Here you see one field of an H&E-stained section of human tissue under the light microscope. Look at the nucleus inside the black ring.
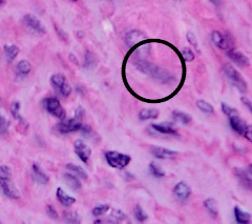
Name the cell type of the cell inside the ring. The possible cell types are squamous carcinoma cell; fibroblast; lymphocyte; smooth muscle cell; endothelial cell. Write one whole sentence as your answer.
What the cell inside the ring represents is a smooth muscle cell.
